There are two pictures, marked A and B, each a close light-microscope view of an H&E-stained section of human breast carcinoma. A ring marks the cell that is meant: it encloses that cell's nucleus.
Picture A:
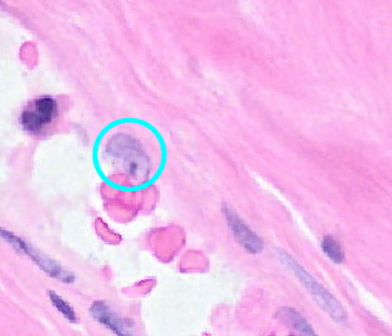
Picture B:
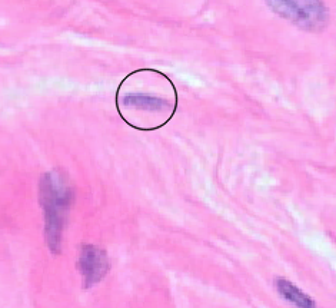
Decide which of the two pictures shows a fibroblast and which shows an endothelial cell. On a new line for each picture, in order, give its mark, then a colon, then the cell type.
A: endothelial cell
B: fibroblast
